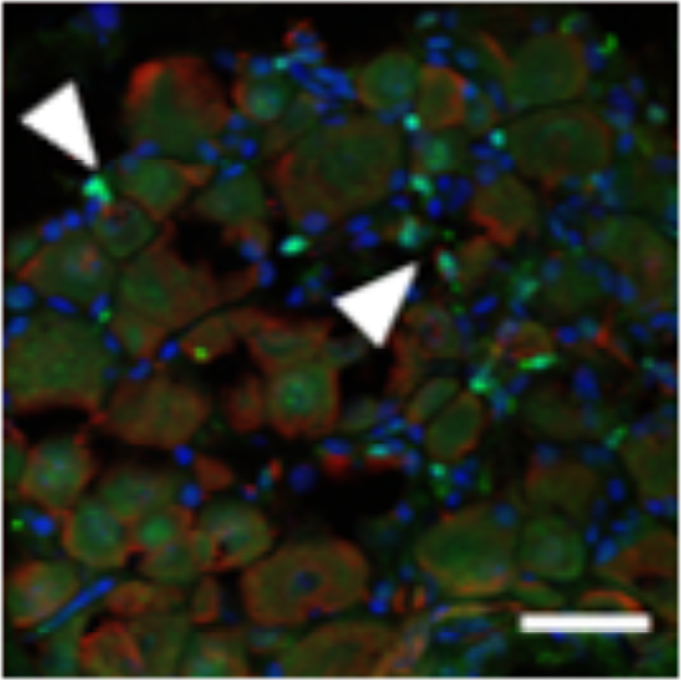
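The neuron bodies are big and rounded, their cytoplasm filled with a diffuse greenish tone and outlined by thin rims. Small blue nuclei, much smaller than the neurons, are scattered in the narrow gaps between the cell bodies. The bright green cells are compact and small, often sitting right next to these small nuclei, and they cluster in the interstitial spaces rather than inside the neurons.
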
